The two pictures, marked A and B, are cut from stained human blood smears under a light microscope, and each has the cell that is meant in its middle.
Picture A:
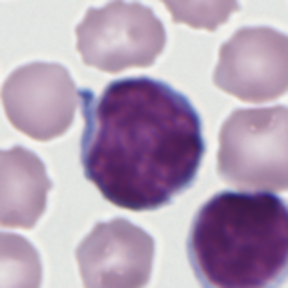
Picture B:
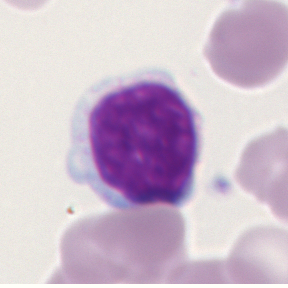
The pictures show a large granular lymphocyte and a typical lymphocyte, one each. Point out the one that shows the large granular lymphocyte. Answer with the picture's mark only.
B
